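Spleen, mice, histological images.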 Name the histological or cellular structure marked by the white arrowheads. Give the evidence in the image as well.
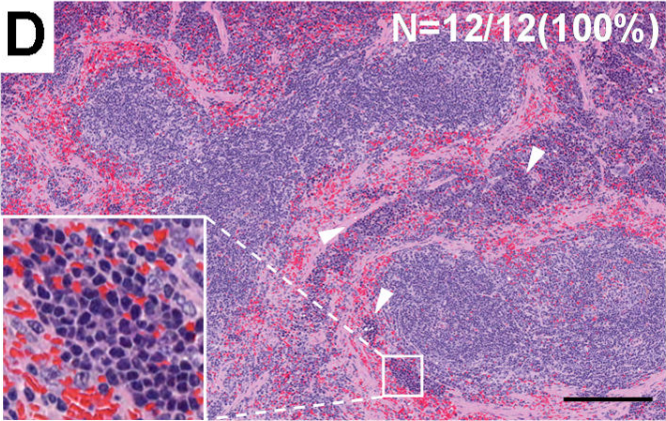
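Foci of erythroblastic islets. The arrowheads point to cellular clusters in the red pulp beside pink fibrous bands. The inset shows crowded round cells with dark nuclei among red erythrocytes.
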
